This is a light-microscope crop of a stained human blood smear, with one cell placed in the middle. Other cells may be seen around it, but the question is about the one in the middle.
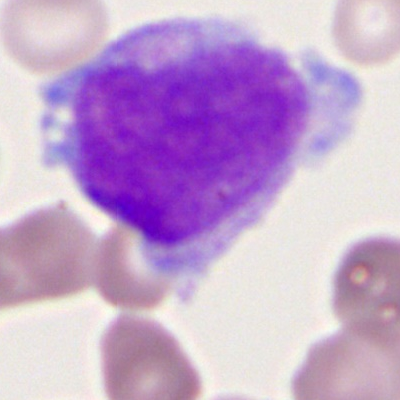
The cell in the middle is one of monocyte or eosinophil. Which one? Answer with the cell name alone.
monocyte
